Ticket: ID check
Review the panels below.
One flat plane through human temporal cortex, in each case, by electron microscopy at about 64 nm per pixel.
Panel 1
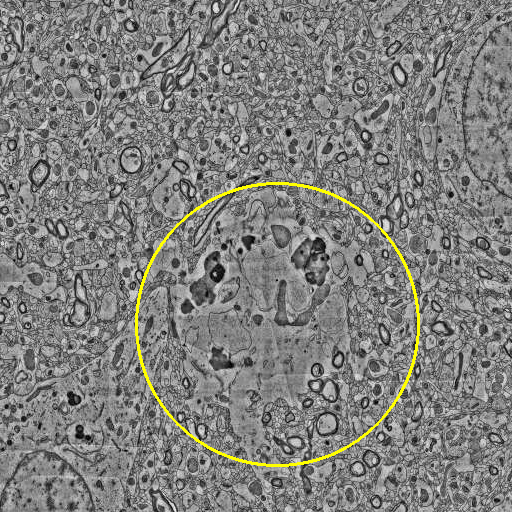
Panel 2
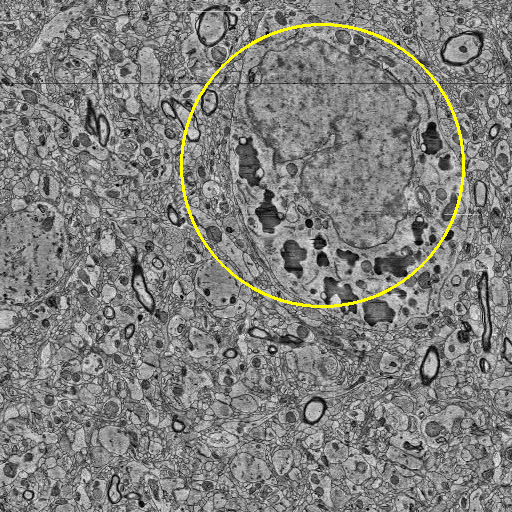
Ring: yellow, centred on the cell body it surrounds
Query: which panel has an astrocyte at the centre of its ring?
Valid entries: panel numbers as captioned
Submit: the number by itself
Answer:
1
